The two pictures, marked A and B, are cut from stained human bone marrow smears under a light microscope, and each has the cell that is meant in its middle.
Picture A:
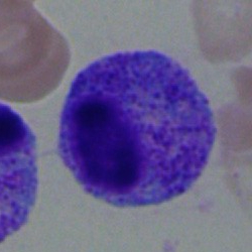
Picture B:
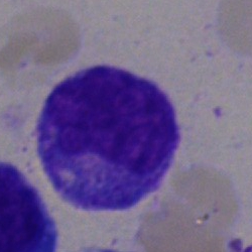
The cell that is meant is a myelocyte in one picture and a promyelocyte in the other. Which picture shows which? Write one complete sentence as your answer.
In picture A the cell is a myelocyte; in picture B, a promyelocyte.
